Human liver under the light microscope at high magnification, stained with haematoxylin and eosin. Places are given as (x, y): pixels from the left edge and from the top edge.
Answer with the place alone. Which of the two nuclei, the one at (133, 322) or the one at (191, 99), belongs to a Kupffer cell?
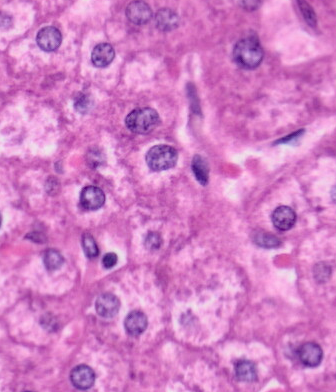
(191, 99)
